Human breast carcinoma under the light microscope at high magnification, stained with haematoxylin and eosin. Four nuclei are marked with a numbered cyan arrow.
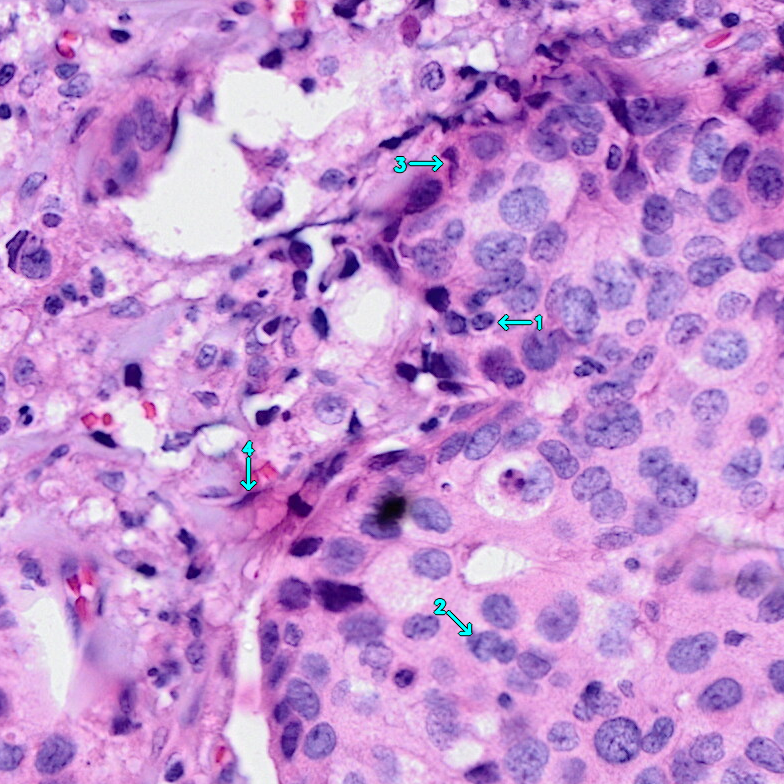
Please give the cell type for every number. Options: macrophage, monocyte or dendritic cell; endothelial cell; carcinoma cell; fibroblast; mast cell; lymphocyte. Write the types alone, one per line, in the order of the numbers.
lymphocyte
carcinoma cell
carcinoma cell
endothelial cell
